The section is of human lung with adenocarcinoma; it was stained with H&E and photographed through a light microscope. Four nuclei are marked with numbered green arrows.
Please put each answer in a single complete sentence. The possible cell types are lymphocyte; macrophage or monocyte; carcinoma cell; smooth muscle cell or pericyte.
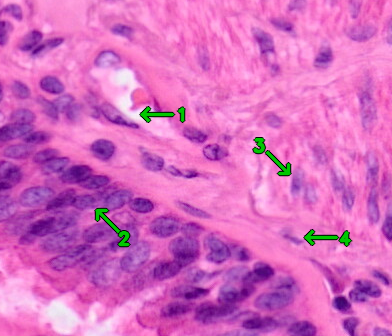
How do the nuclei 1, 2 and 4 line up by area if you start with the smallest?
By area, going up from the smallest, they rank 4, 2, 1.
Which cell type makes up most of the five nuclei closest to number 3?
Of the five nuclei nearest to number 3, most belong to smooth muscle cells or pericytes.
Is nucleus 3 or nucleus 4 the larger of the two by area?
It is nucleus 3, which covers about 2 times the area of nucleus 4.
